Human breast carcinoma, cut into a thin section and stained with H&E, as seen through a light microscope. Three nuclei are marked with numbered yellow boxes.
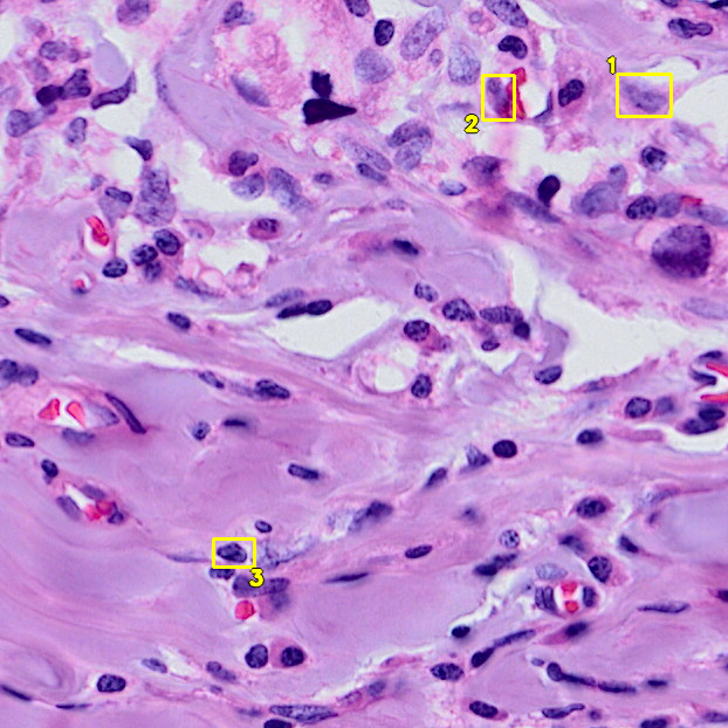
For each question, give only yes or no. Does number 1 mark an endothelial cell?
no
